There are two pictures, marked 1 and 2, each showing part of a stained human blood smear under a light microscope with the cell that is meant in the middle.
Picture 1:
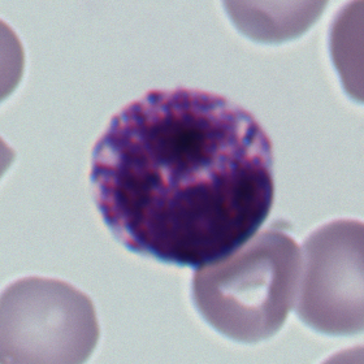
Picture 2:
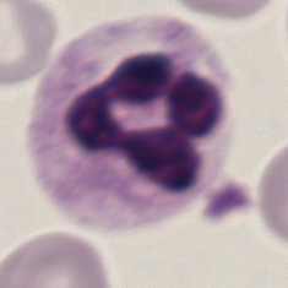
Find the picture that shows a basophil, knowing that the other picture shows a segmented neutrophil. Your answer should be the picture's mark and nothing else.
1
